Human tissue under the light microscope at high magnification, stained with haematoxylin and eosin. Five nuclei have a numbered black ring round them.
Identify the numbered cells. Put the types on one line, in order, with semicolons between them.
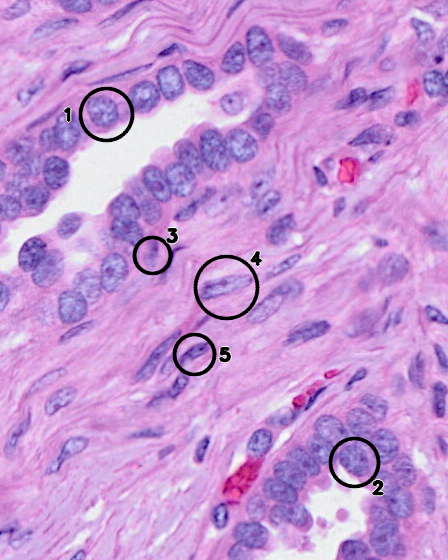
carcinoma cell; carcinoma cell; fibroblast; fibroblast; fibroblast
